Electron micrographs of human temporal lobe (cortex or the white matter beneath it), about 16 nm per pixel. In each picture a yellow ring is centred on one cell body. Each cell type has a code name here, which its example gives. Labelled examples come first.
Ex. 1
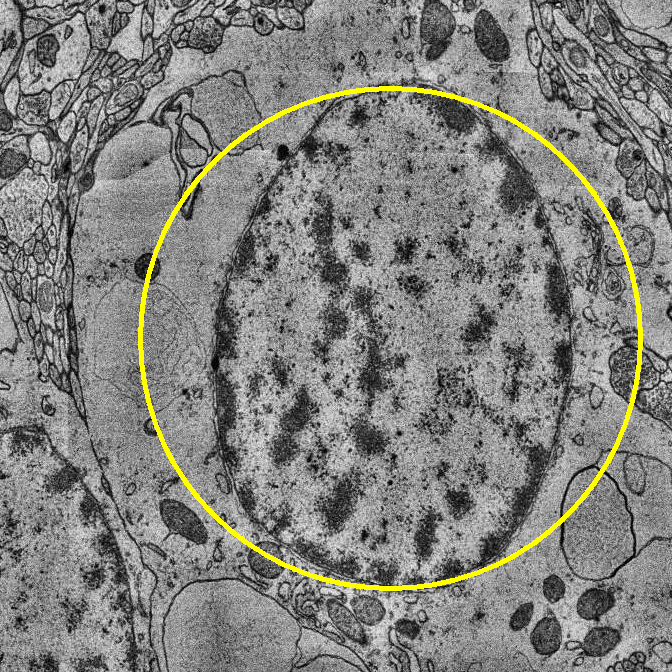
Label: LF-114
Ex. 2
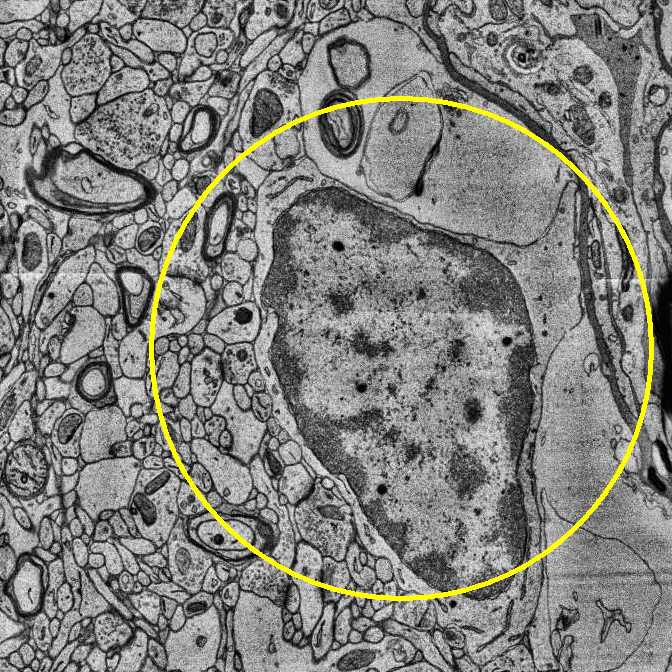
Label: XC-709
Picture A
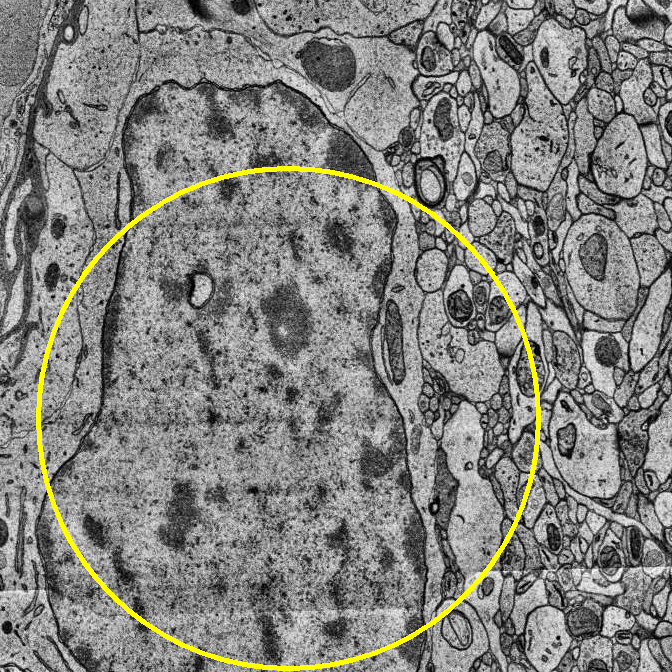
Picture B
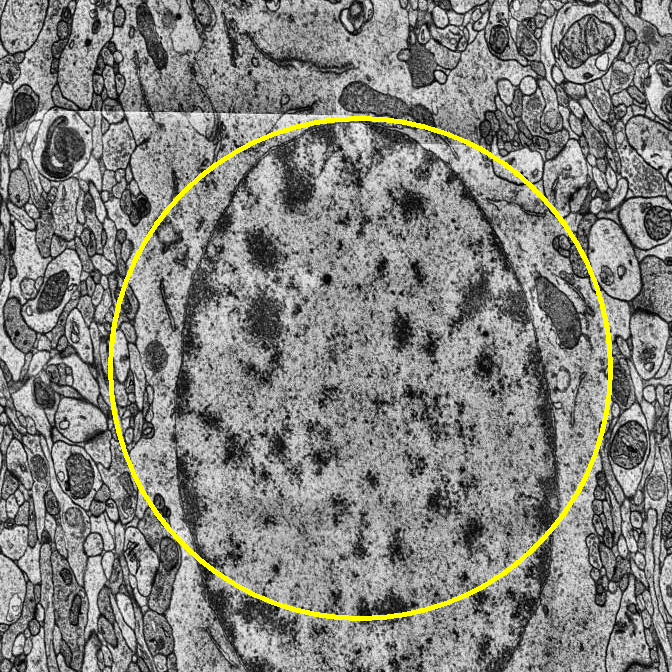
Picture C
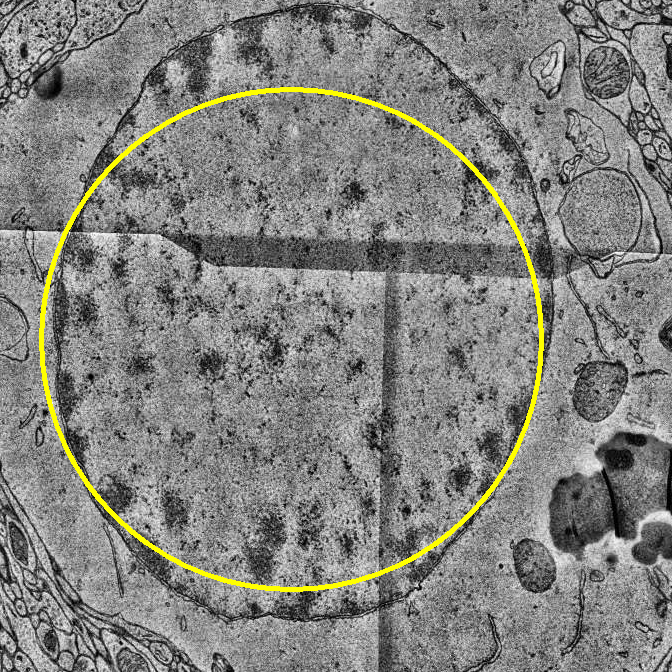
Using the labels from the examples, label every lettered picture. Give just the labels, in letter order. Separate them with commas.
XC-709, LF-114, LF-114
